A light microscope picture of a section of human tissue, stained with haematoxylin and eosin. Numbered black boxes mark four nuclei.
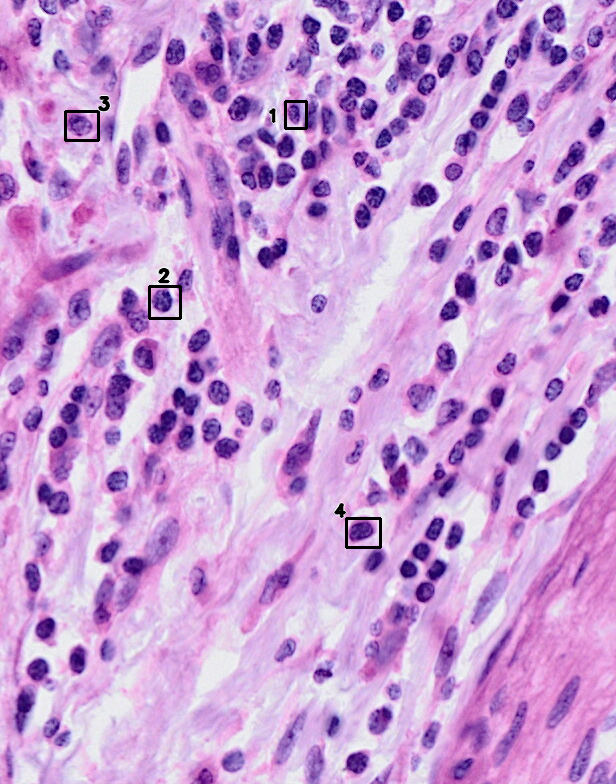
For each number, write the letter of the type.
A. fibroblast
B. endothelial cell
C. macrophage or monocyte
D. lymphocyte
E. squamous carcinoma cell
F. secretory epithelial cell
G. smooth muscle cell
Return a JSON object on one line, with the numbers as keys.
{"1": "D", "2": "D", "3": "C", "4": "D"}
